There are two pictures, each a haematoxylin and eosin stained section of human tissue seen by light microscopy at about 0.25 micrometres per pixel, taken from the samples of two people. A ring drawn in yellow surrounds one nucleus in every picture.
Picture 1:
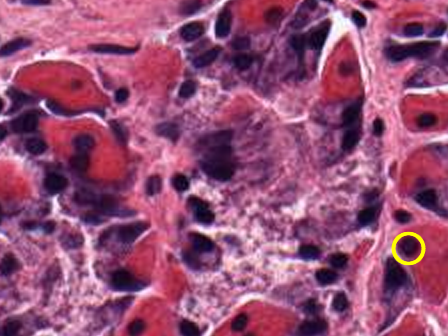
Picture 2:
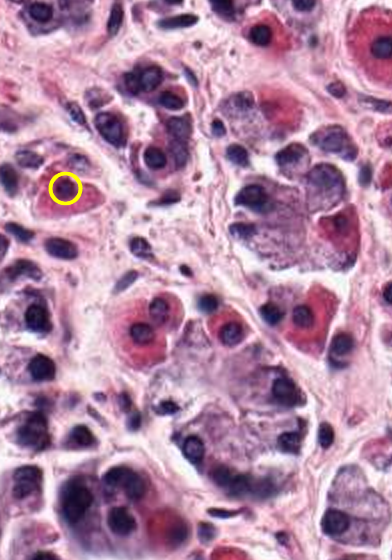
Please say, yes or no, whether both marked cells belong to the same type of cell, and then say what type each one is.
Yes, both are parietal cells.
